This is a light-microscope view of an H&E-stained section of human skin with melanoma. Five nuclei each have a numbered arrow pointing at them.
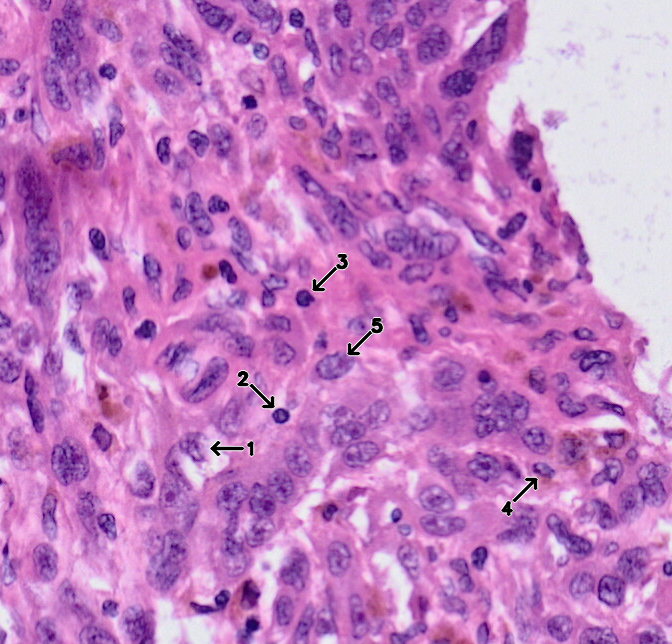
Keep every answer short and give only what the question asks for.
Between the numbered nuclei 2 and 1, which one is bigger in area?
1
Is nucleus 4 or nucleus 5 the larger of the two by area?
5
